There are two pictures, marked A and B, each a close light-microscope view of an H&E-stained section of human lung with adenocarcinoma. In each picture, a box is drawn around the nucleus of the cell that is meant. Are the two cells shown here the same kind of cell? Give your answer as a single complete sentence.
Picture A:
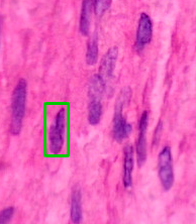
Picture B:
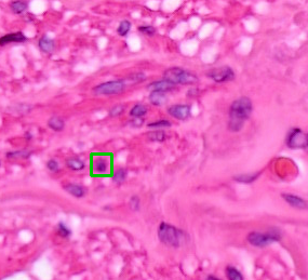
Yes; the cells in both pictures are “smooth muscle cells or pericytes”.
